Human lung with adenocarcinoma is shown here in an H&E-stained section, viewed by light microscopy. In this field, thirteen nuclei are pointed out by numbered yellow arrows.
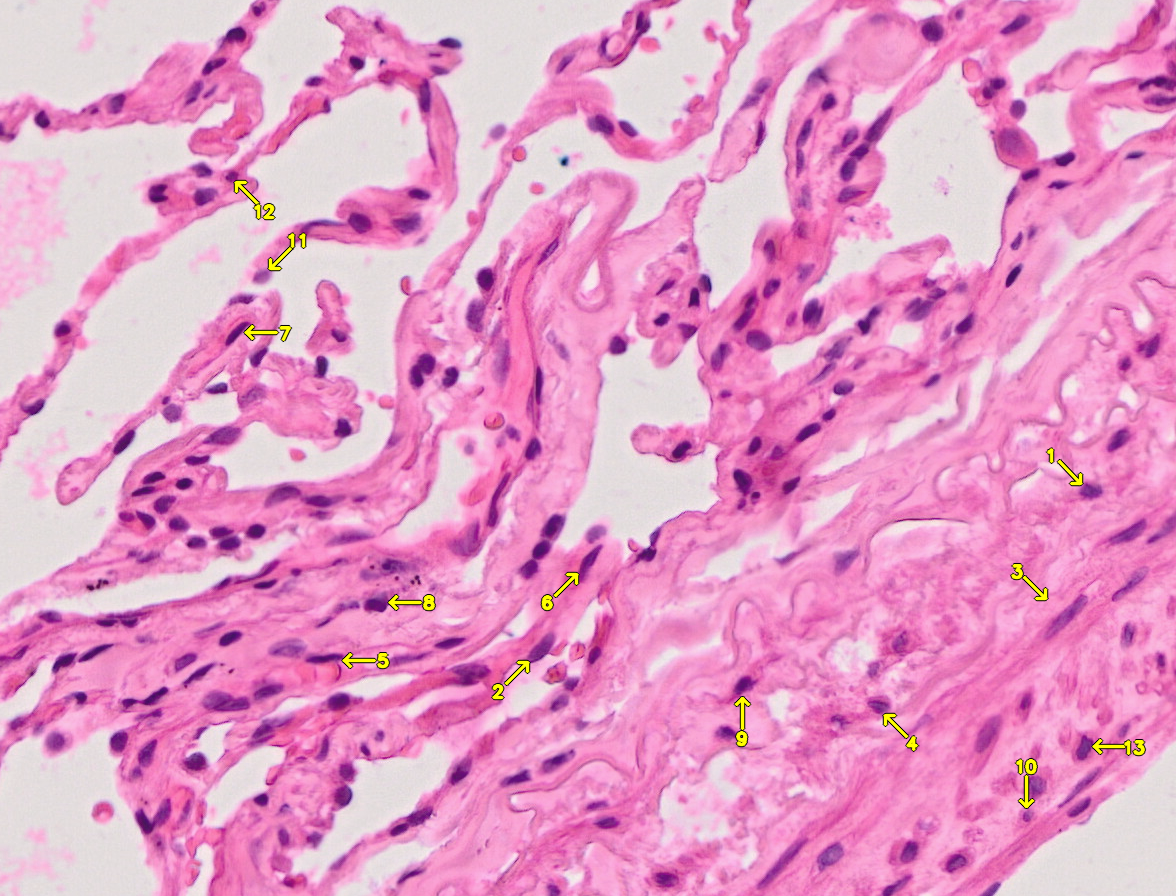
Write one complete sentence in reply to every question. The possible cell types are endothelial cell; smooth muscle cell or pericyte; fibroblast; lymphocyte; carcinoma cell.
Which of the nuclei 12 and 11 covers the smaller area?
The smaller nucleus is 12, and 11 covers roughly 2 times its area.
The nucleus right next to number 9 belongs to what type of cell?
The cell nearest to number 9 is a smooth muscle cell or pericyte.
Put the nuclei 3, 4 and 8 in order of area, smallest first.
From smallest to largest, the order is 4, 8, 3.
